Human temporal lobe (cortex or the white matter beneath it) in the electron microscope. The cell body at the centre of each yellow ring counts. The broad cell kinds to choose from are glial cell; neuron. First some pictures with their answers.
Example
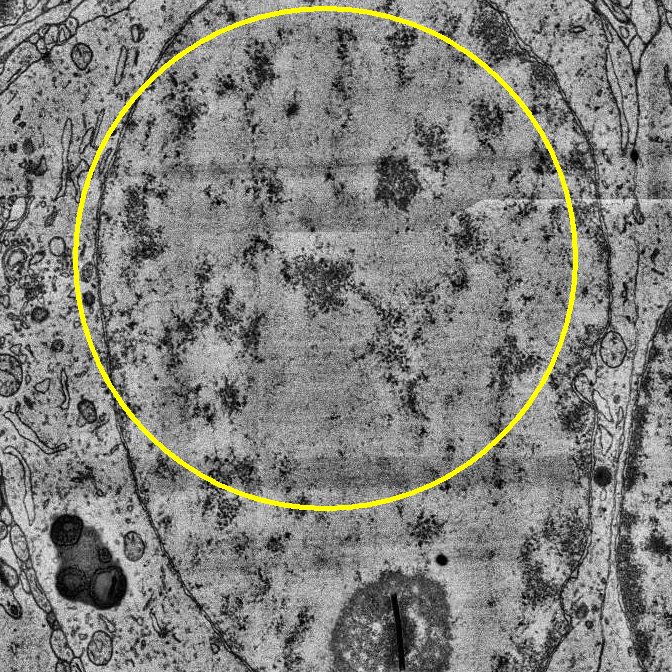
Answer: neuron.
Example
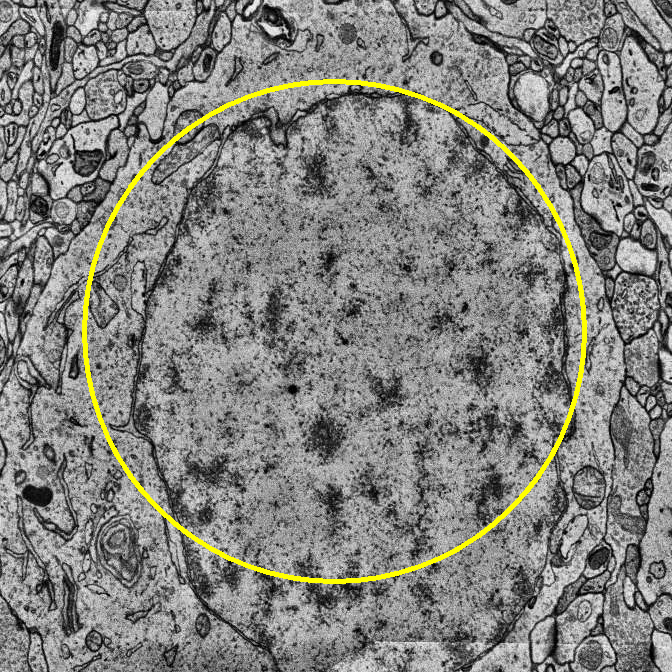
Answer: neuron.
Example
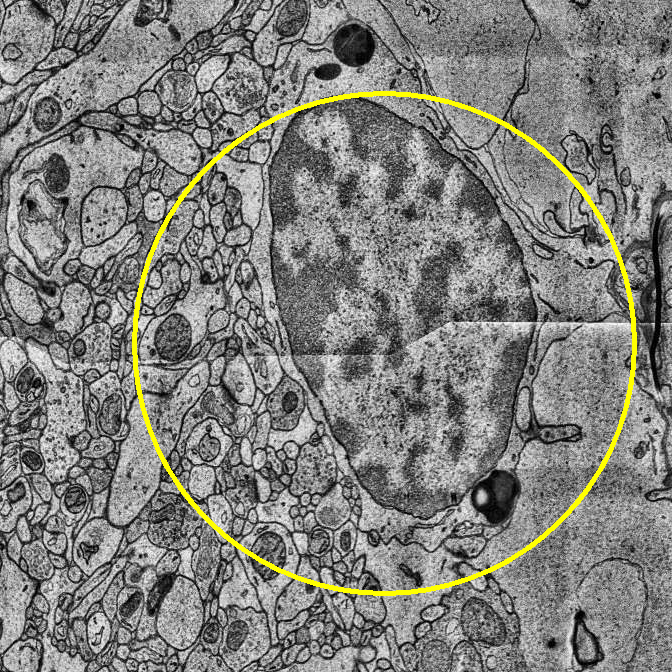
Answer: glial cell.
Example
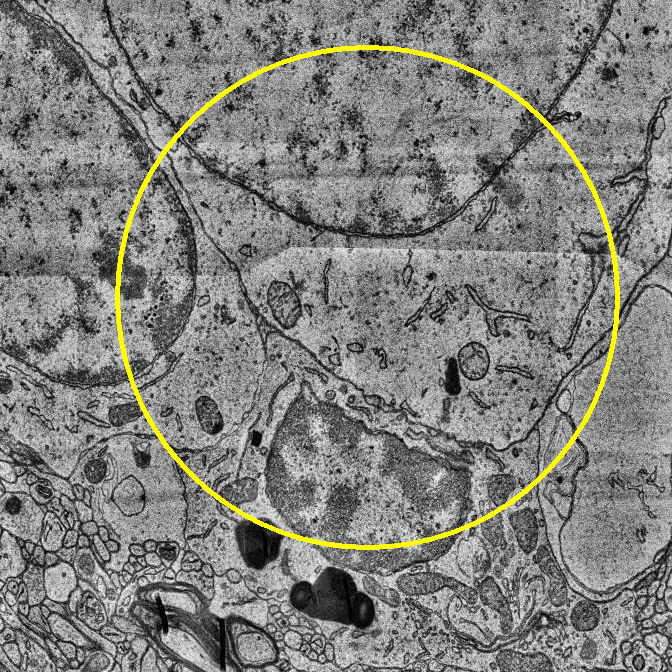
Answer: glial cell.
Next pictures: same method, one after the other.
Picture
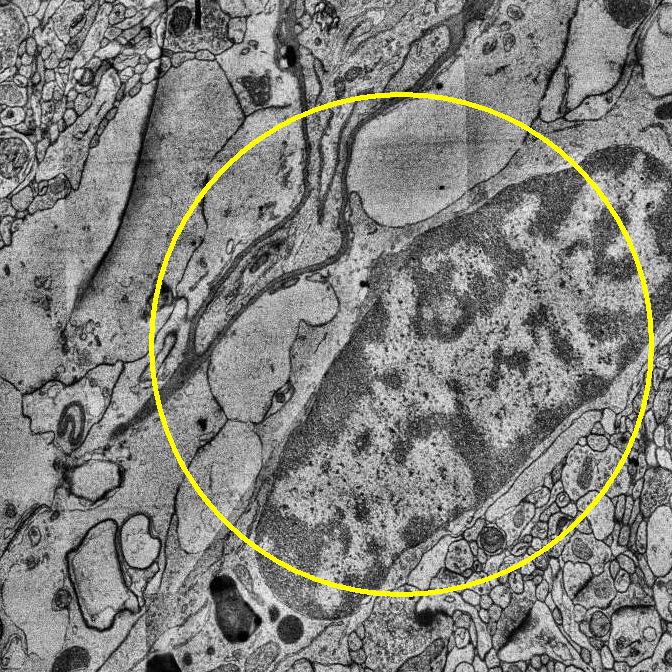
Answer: glial cell.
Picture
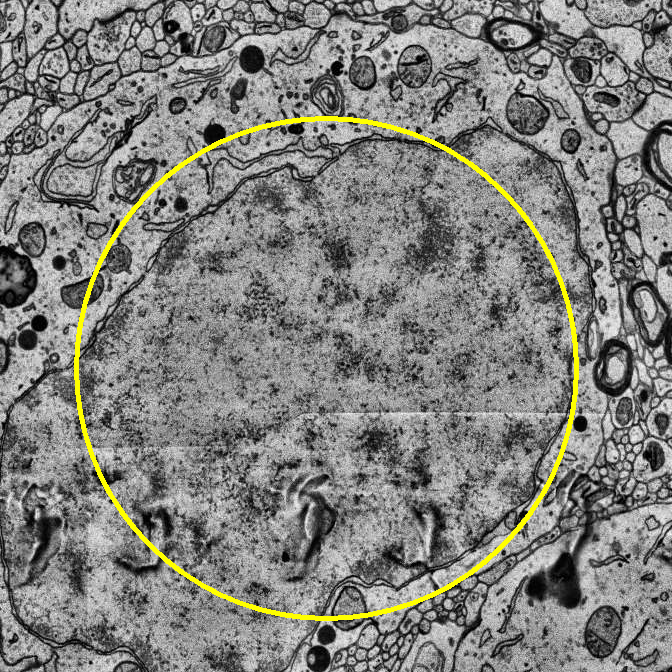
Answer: neuron.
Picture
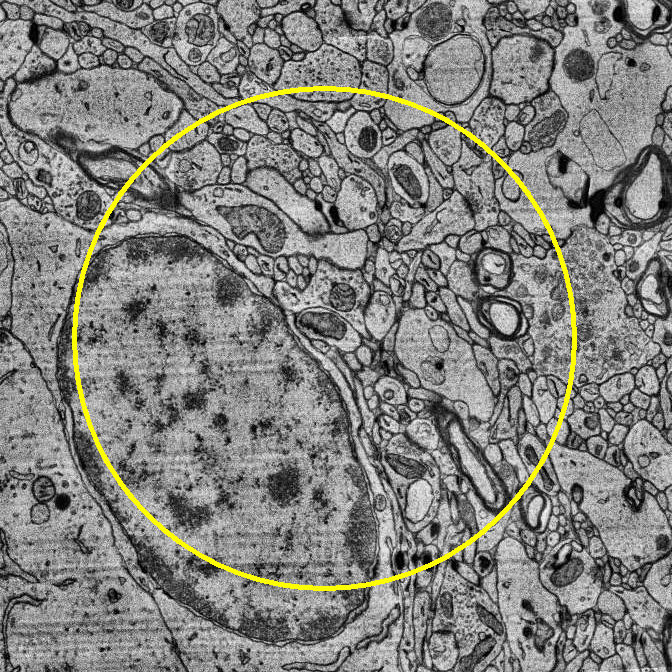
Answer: glial cell.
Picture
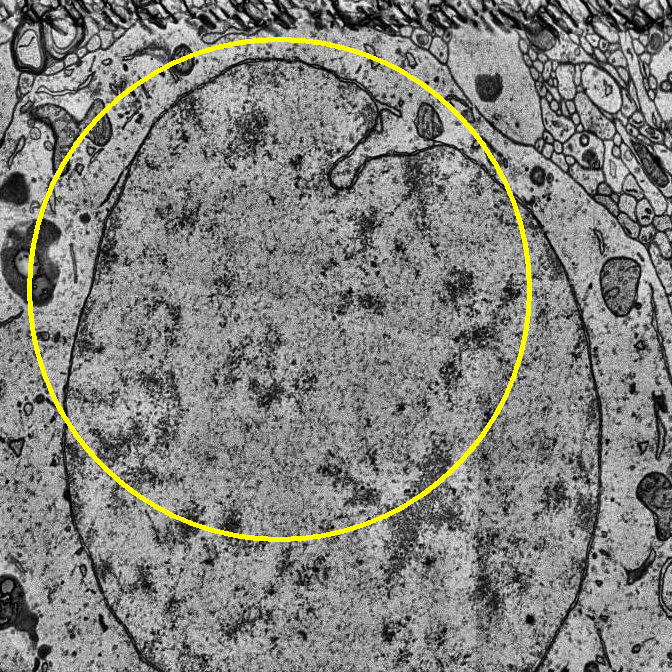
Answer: neuron.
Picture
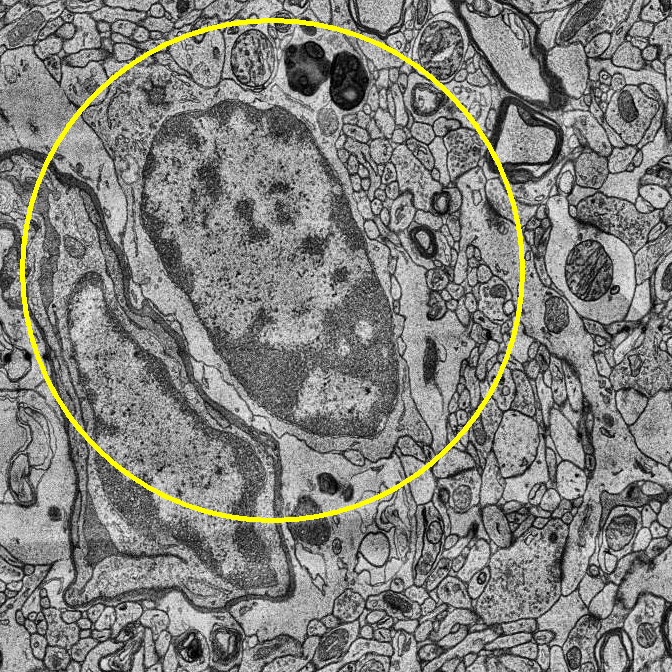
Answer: glial cell.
